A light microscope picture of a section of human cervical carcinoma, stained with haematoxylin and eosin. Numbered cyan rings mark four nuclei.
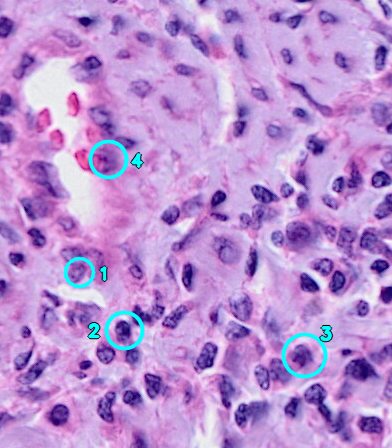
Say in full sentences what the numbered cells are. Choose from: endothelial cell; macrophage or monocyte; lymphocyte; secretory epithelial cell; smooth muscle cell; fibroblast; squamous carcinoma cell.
Cell 1 is an endothelial cell, cell 2 is a lymphocyte, cell 3 is a lymphocyte and cell 4 is an endothelial cell.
